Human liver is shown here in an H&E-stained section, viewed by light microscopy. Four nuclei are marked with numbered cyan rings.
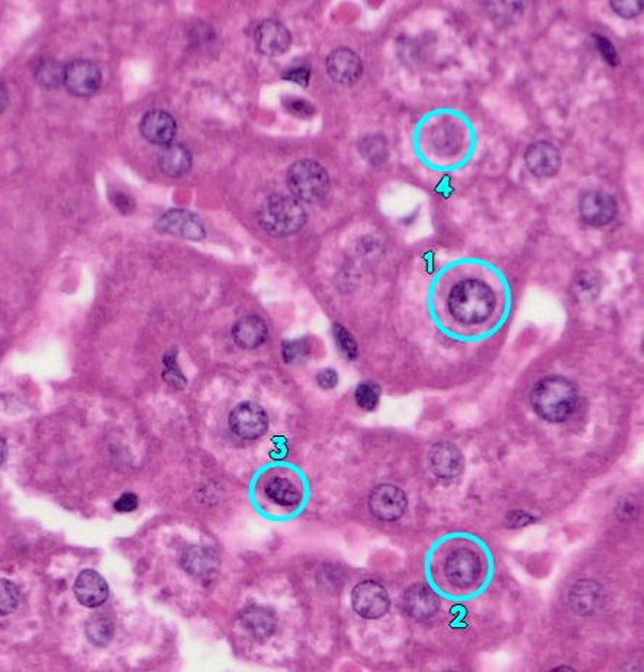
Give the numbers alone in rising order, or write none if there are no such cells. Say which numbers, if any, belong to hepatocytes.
1, 2, 4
